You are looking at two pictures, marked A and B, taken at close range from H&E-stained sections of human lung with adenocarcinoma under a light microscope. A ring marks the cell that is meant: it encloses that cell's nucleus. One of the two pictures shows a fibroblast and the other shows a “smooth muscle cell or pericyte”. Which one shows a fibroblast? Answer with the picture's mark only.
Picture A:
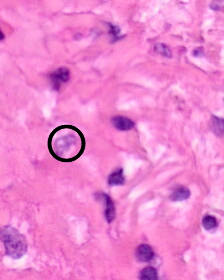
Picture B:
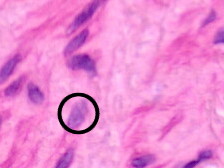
A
